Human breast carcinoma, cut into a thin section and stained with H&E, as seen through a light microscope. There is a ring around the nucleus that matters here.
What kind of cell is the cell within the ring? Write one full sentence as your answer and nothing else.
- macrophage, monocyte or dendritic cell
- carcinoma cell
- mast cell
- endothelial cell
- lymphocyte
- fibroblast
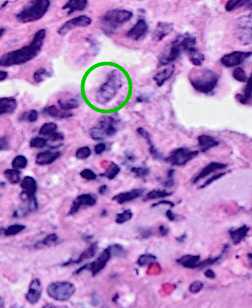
In terms of identity, the cell within the ring is a macrophage, monocyte or dendritic cell.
